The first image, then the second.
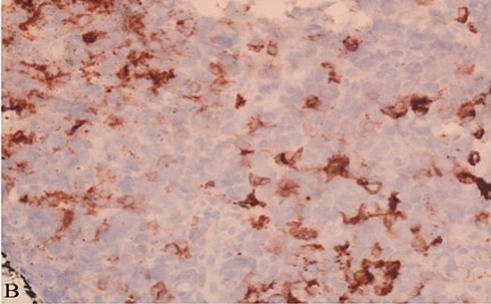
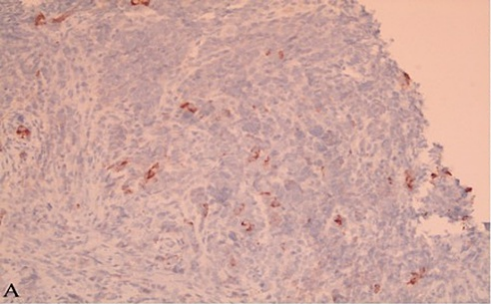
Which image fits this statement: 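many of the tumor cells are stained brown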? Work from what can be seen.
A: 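First image: numerous tumor cells throughout the field carry dark brown staining outlining their borders and cytoplasm. Second image: the tumor sheet is mostly blue with only a few scattered small brown-stained cells.
The first image.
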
